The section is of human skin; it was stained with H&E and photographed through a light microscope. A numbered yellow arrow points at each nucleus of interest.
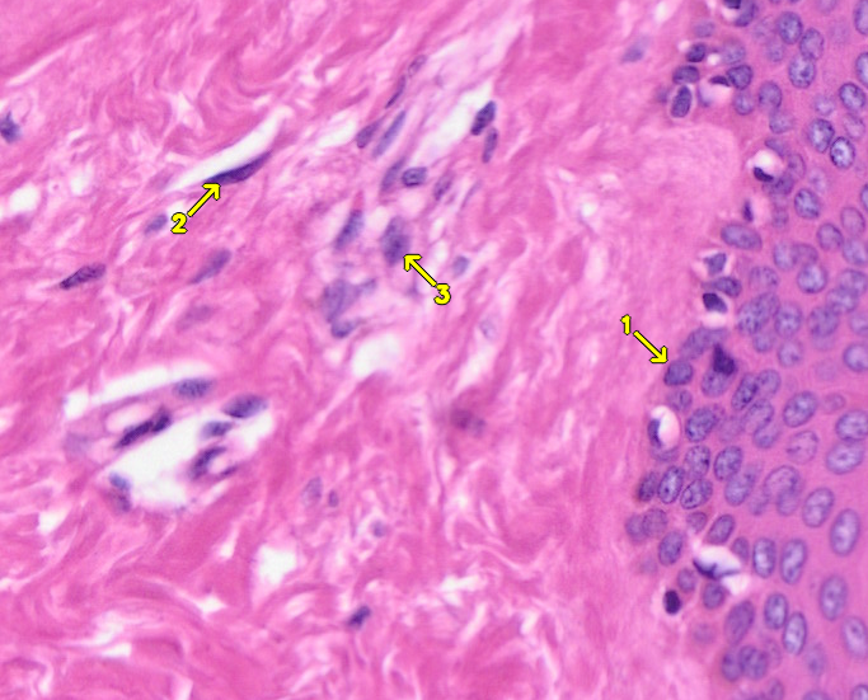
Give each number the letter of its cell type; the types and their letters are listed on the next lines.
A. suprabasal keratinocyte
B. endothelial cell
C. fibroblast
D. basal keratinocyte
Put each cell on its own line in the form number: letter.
1: D
2: C
3: B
